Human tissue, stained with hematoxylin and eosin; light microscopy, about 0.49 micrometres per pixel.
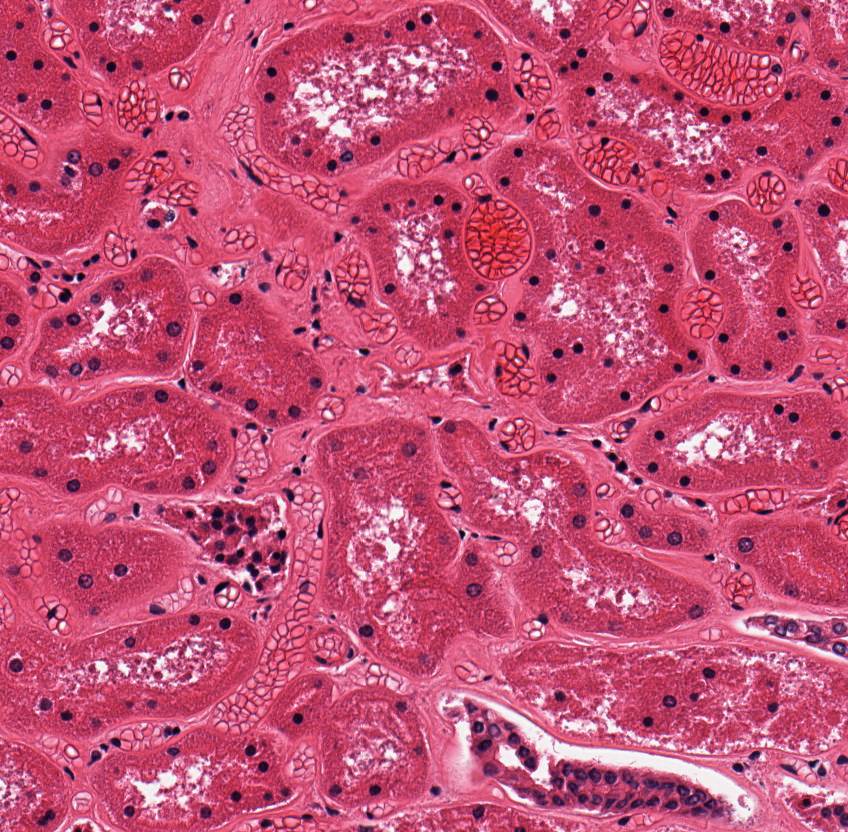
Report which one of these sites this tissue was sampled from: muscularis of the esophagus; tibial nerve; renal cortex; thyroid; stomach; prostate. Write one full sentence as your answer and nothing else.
Sampled from the renal cortex is the tissue in this section.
